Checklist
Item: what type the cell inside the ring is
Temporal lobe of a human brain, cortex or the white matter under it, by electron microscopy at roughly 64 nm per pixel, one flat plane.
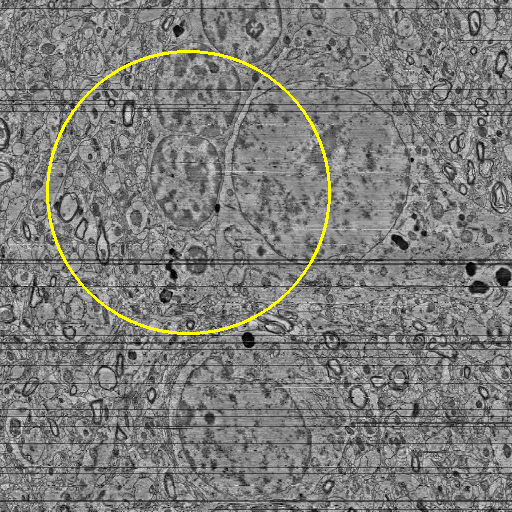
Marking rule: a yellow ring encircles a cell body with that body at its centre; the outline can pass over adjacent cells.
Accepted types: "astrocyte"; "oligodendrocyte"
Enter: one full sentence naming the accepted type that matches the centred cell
The entry is that an oligodendrocyte lies at the centre of the yellow ring.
